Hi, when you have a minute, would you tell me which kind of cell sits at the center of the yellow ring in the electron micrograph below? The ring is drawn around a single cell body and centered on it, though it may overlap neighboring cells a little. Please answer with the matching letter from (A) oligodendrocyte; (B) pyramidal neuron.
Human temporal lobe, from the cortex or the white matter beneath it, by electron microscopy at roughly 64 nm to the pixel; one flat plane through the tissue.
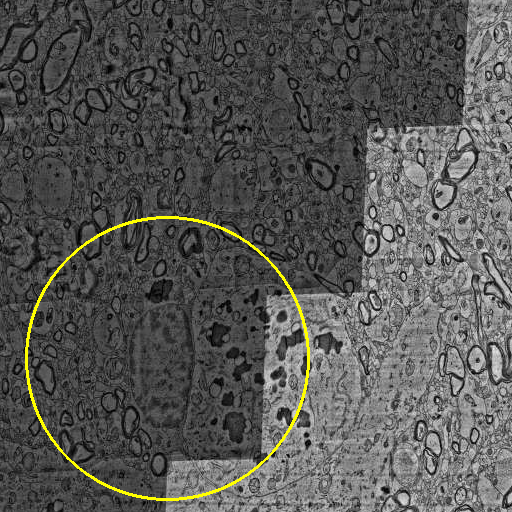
A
